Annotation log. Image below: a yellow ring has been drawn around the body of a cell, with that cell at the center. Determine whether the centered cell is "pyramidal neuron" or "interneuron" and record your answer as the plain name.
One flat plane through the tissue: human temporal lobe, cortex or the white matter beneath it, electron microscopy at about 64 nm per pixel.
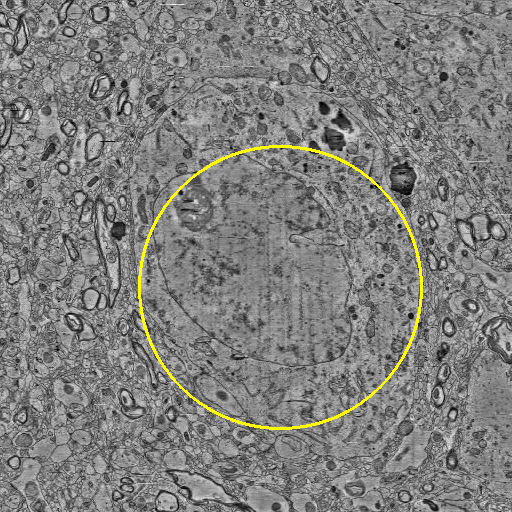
pyramidal neuron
